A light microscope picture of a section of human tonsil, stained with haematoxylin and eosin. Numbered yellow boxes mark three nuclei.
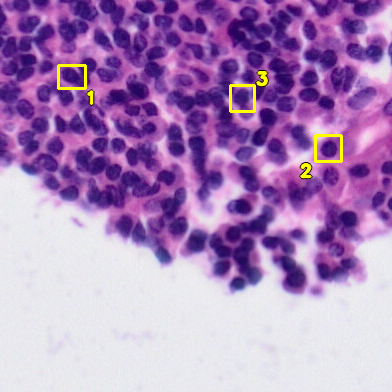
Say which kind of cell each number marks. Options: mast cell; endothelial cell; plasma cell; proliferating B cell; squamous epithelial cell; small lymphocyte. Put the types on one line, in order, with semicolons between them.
small lymphocyte; plasma cell; small lymphocyte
